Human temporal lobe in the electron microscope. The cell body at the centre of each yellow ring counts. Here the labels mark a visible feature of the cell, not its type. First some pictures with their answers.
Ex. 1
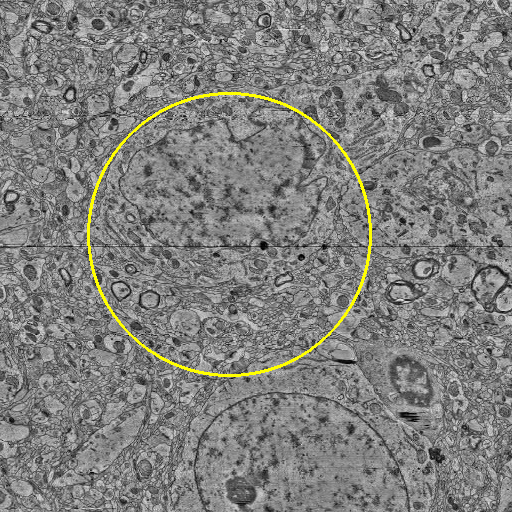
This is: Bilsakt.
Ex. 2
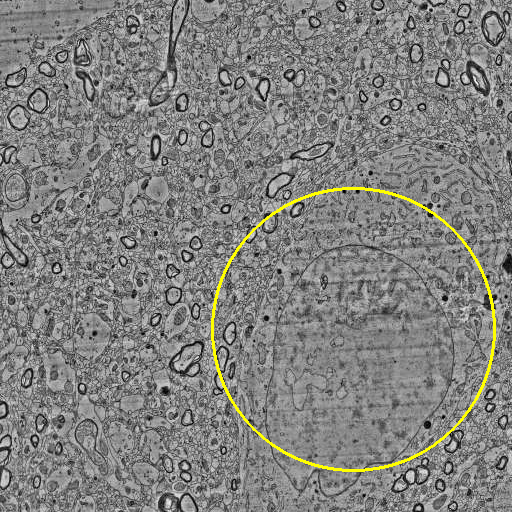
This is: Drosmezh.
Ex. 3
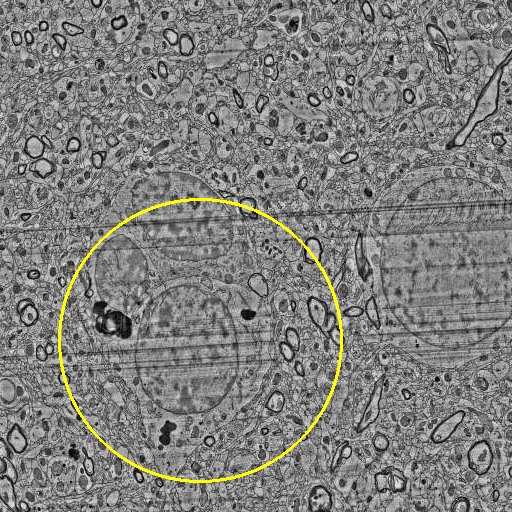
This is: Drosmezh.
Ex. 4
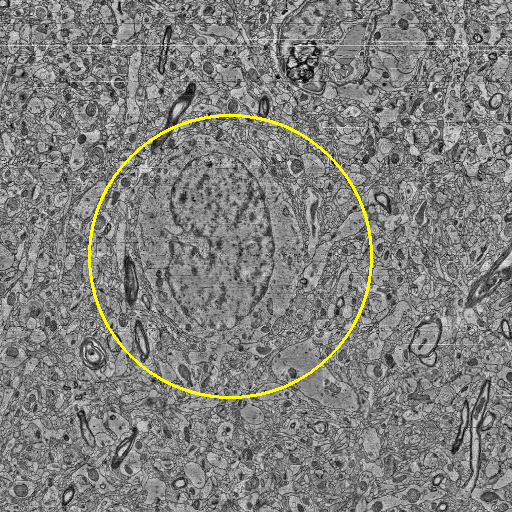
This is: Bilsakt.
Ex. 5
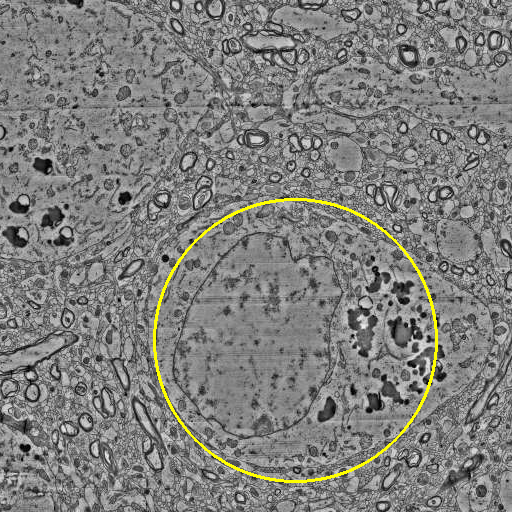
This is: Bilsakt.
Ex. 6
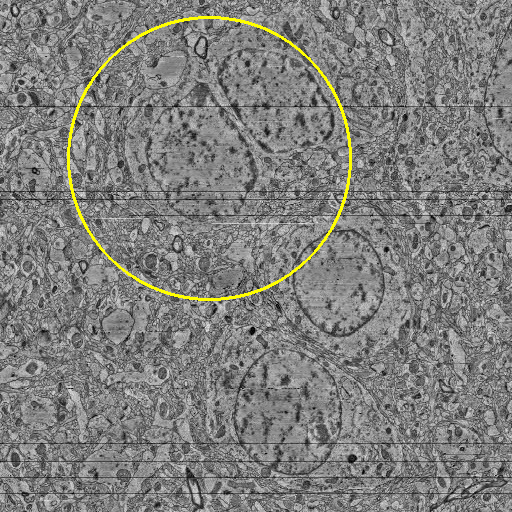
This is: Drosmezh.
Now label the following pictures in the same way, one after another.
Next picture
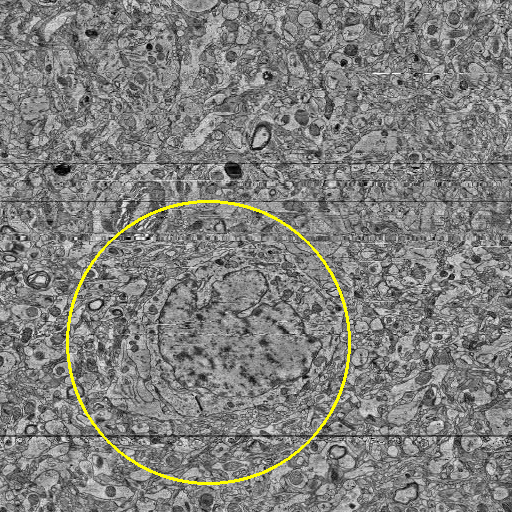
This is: Bilsakt.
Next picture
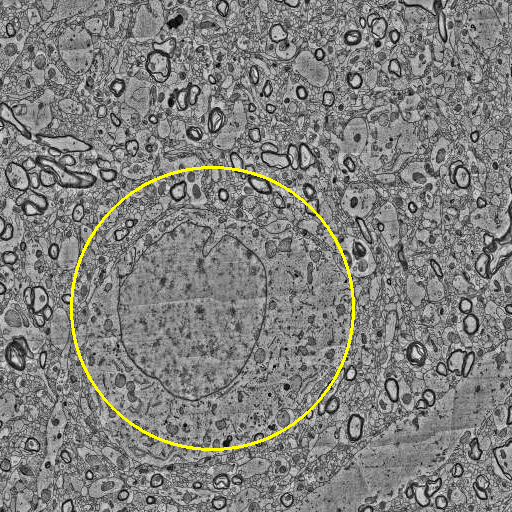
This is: Bilsakt.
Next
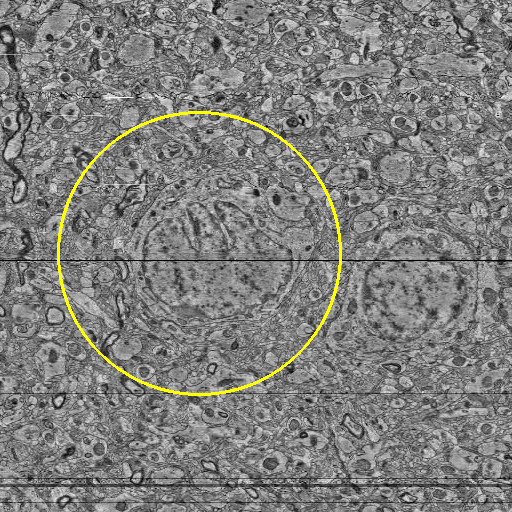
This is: Bilsakt.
